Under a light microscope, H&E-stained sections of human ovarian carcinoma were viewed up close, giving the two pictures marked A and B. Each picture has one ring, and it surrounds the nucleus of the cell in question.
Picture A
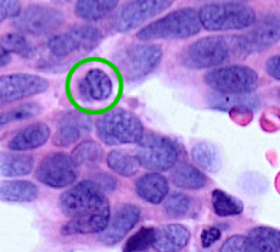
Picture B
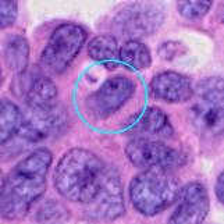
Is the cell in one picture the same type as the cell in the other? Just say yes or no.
no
